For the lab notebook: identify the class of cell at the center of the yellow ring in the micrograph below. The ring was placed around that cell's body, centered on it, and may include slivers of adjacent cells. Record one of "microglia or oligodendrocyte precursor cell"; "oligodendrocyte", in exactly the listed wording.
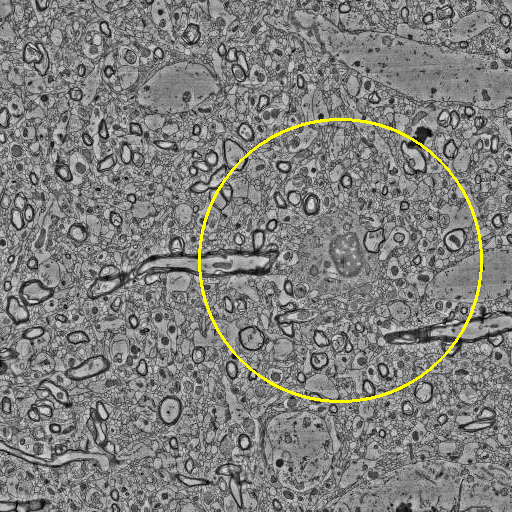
oligodendrocyte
